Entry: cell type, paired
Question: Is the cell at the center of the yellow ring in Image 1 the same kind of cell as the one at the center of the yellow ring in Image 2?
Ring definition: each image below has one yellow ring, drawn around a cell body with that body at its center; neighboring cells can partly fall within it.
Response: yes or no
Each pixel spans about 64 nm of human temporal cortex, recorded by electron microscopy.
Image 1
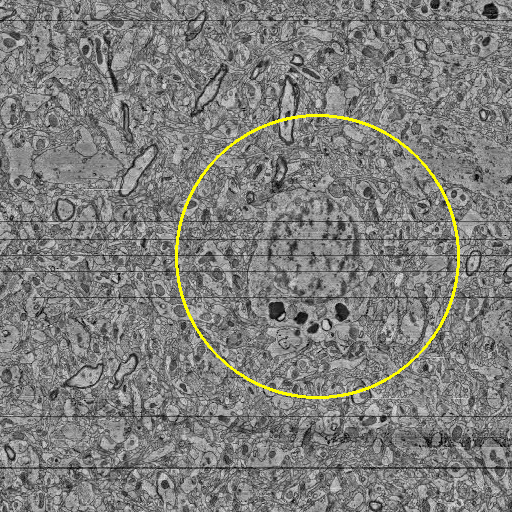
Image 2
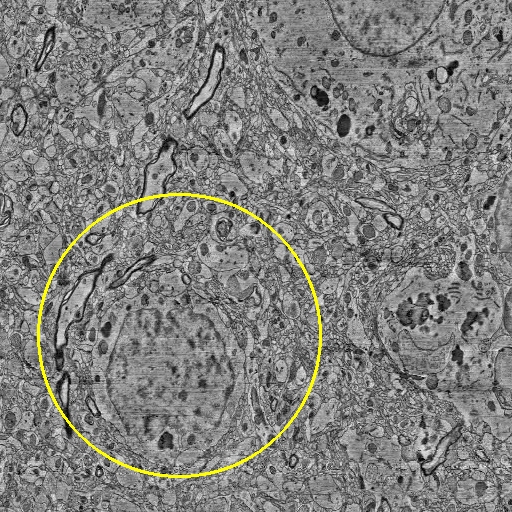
yes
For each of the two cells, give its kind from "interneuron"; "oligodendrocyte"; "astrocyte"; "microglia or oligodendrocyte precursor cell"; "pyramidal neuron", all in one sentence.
Each cell at the centre of a ring is an interneuron.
